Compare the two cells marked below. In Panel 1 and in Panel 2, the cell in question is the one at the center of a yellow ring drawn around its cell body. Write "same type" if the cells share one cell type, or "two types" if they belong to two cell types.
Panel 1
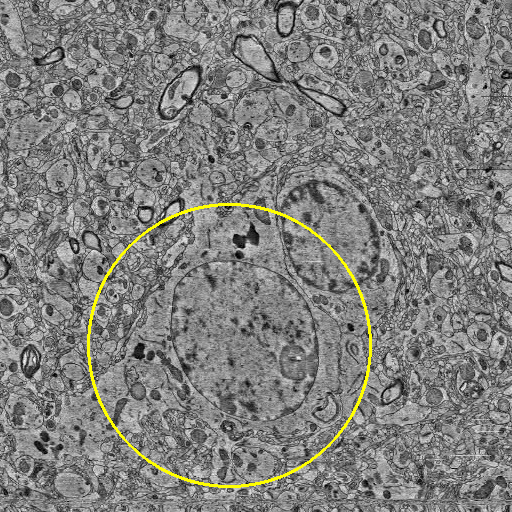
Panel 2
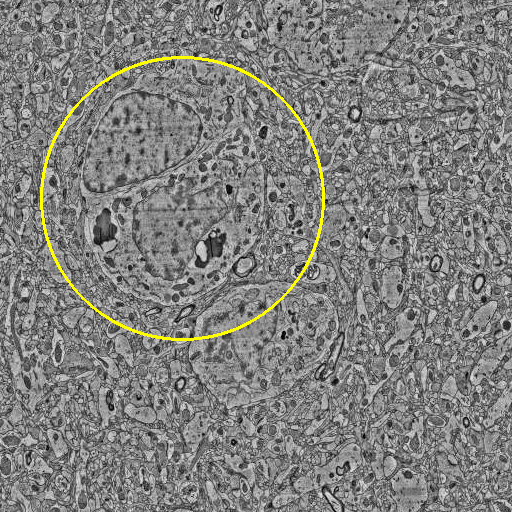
two types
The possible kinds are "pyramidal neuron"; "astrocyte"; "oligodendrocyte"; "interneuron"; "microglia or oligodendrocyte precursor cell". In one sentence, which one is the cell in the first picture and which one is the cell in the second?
The cell ringed in the second picture is an interneuron, whereas the one ringed in the first is an astrocyte.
